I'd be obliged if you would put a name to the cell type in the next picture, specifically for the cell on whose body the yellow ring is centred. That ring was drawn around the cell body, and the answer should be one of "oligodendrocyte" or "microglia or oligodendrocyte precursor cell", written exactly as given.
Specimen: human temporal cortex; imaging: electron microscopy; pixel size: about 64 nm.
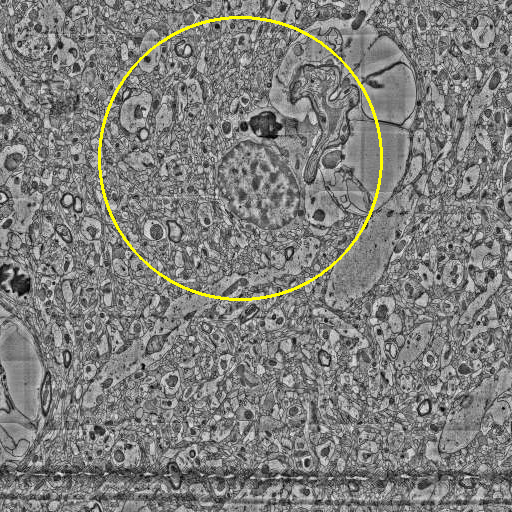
oligodendrocyte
